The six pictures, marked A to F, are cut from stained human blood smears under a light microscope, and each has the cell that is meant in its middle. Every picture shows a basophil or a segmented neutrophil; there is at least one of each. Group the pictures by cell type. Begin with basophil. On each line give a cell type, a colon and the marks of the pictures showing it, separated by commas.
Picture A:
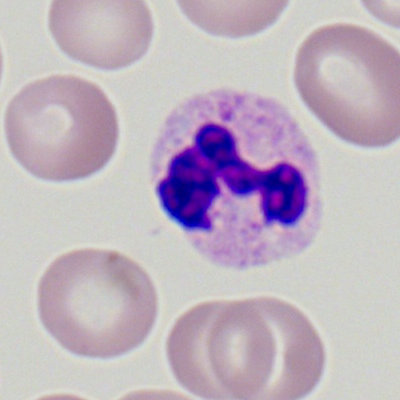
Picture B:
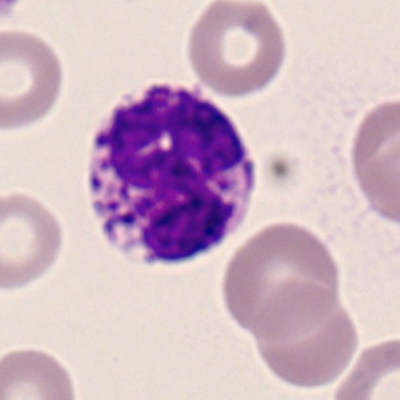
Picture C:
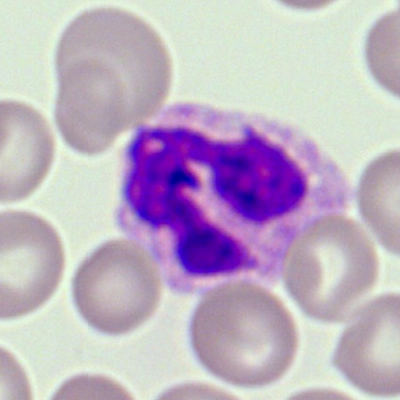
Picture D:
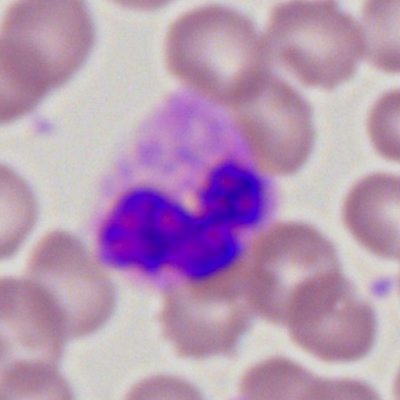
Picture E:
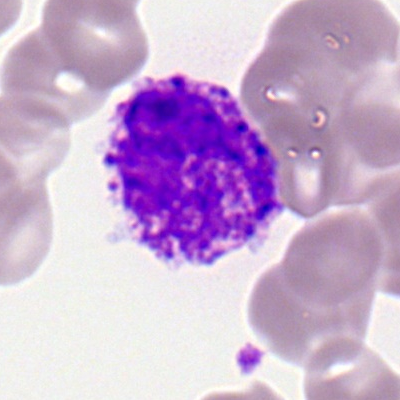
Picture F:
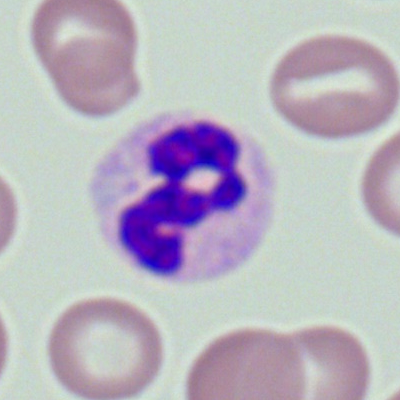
basophil: B, C, E
segmented neutrophil: A, D, F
